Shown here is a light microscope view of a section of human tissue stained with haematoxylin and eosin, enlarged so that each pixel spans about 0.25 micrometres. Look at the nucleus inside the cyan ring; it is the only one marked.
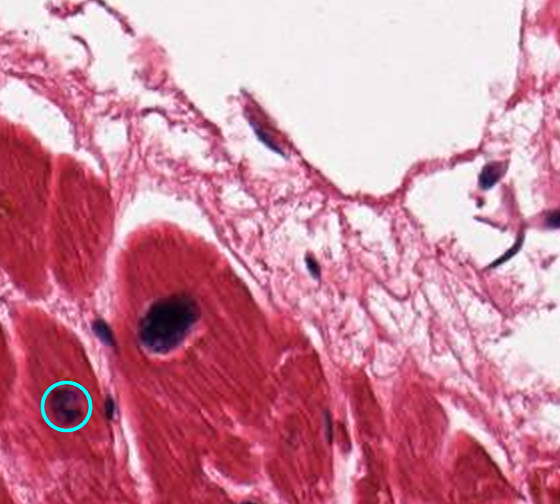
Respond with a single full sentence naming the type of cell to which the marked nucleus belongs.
The nucleus indicated by the mark belongs to a cardiomyocyte.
